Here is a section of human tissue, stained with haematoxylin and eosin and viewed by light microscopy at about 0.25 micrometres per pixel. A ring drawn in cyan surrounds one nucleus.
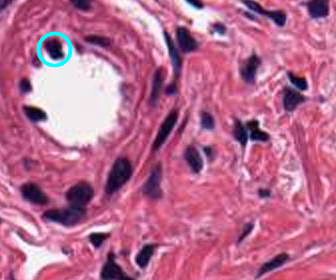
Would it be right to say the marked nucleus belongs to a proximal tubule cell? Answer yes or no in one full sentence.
No, the owner of the marked nucleus is a supporting cell, not a proximal tubule cell.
